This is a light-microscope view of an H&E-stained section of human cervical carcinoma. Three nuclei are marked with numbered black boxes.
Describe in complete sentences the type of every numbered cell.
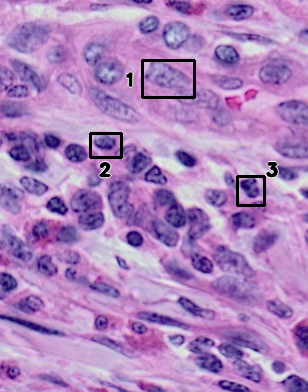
Cell 1 is an endothelial cell, cell 2 is a lymphocyte and cell 3 is a lymphocyte.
